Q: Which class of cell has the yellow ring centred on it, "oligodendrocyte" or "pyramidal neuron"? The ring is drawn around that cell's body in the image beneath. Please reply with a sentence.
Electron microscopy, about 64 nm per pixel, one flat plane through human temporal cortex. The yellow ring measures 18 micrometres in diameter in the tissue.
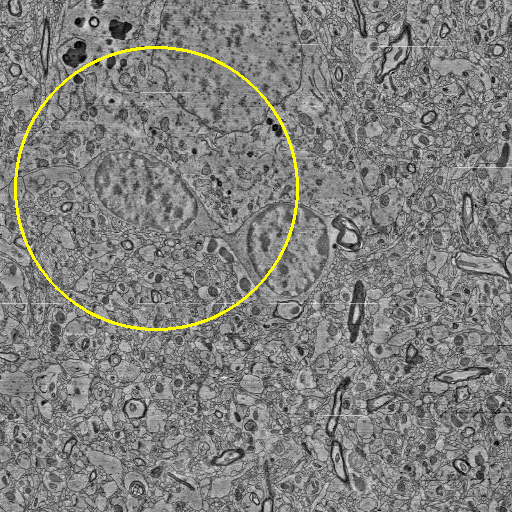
It is centred on an oligodendrocyte.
